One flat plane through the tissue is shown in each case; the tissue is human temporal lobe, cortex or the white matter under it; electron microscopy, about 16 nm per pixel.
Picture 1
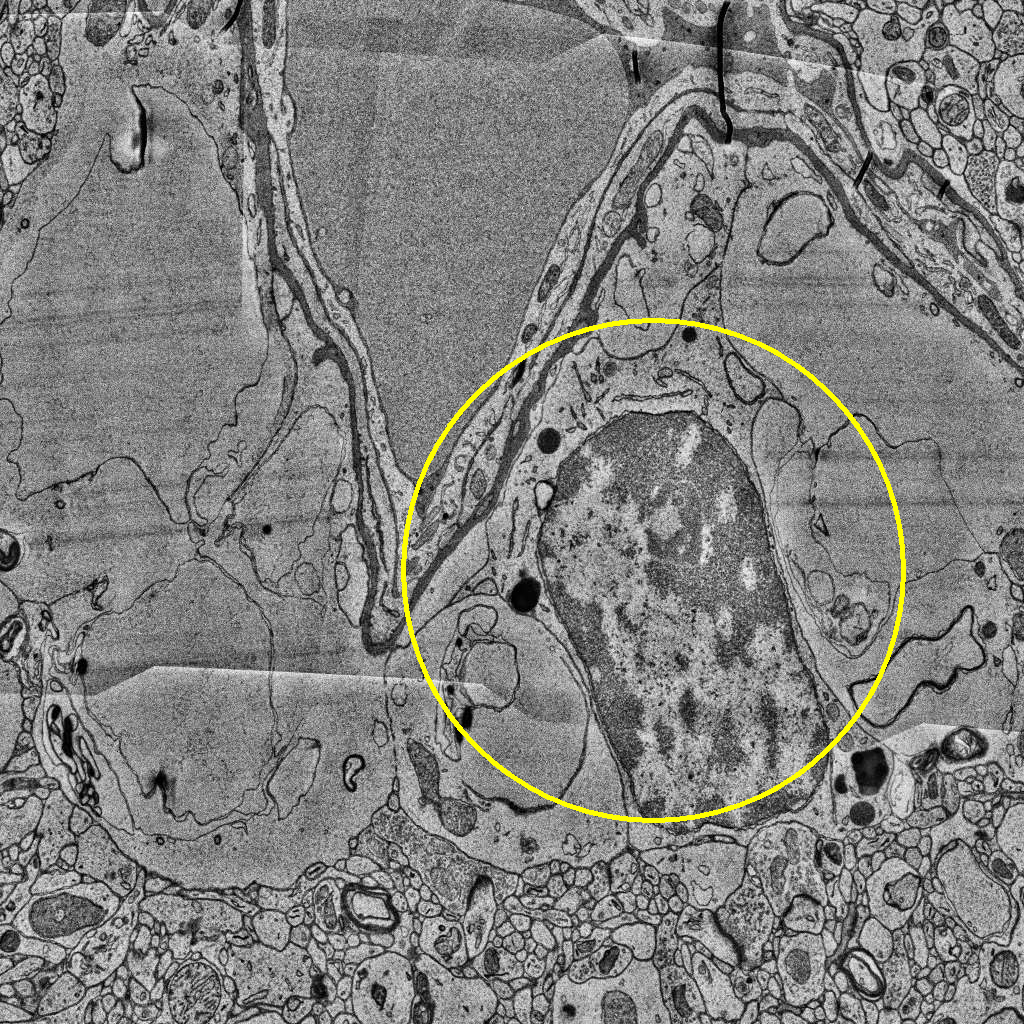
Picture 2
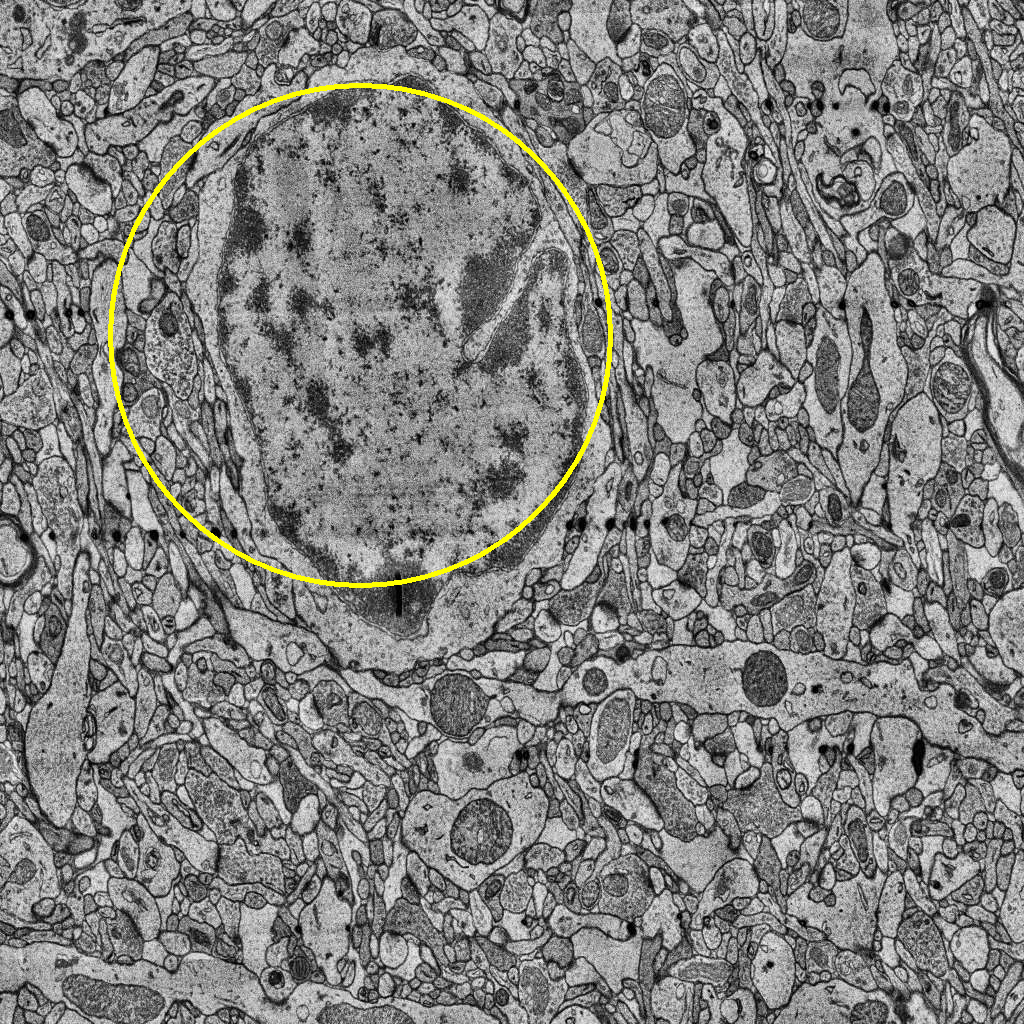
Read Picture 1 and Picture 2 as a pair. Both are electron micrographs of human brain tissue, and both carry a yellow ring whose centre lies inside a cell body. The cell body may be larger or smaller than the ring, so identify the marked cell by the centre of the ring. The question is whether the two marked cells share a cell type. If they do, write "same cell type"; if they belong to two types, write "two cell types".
same cell type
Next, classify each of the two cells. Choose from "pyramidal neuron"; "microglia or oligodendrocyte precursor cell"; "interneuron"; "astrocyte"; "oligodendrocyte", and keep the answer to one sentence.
Each of the two cells is a microglial cell or oligodendrocyte precursor cell.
